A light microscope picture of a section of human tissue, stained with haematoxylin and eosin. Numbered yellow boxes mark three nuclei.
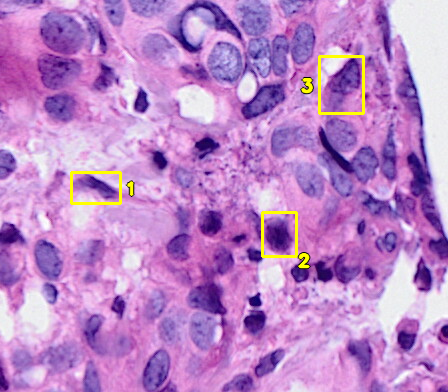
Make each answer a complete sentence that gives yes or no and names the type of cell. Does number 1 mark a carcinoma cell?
No, cell 1 is not a carcinoma cell; a fibroblast is correct.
